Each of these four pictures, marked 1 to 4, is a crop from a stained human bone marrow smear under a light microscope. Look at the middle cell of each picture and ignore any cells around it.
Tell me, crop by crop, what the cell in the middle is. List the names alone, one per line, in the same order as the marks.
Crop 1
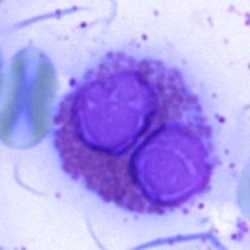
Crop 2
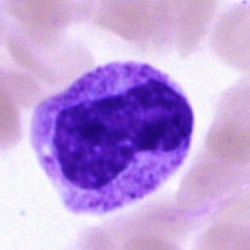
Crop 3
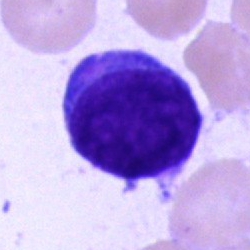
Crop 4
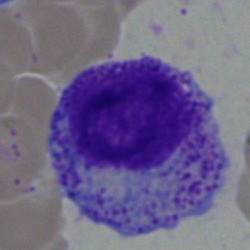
eosinophil
metamyelocyte
blast
myelocyte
